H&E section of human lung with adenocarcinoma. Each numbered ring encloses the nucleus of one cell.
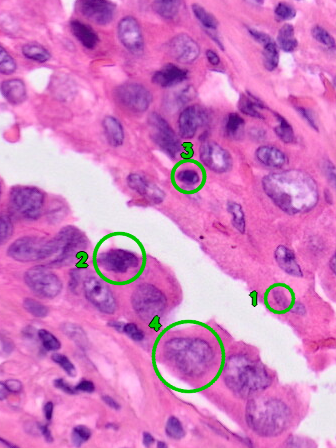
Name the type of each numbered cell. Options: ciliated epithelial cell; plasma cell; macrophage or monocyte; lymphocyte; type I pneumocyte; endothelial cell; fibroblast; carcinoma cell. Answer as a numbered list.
1. macrophage or monocyte
2. carcinoma cell
3. lymphocyte
4. carcinoma cell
